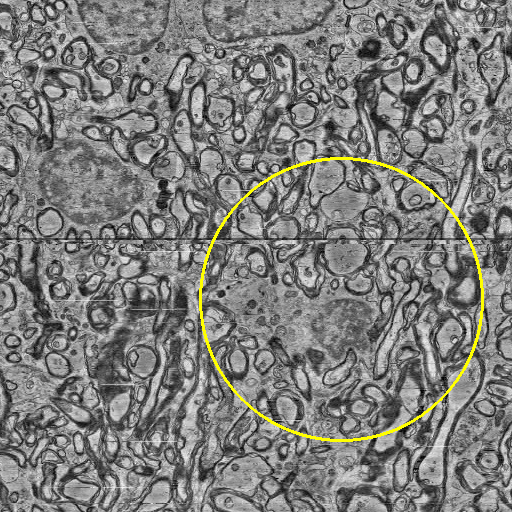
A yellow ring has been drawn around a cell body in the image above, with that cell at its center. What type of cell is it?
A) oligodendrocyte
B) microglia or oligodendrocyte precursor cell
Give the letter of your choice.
A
